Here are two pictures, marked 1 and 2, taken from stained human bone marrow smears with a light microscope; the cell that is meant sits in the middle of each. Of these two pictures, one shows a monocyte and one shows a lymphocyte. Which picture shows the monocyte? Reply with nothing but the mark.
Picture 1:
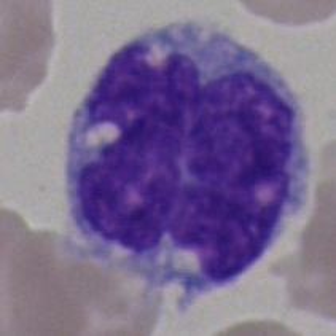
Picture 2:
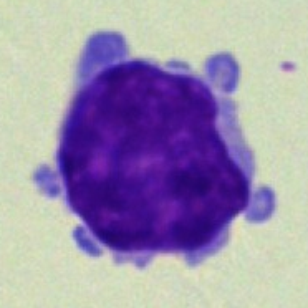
1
